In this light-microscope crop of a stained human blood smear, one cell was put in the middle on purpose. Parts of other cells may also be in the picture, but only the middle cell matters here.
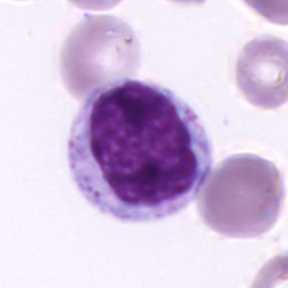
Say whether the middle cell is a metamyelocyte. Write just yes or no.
yes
